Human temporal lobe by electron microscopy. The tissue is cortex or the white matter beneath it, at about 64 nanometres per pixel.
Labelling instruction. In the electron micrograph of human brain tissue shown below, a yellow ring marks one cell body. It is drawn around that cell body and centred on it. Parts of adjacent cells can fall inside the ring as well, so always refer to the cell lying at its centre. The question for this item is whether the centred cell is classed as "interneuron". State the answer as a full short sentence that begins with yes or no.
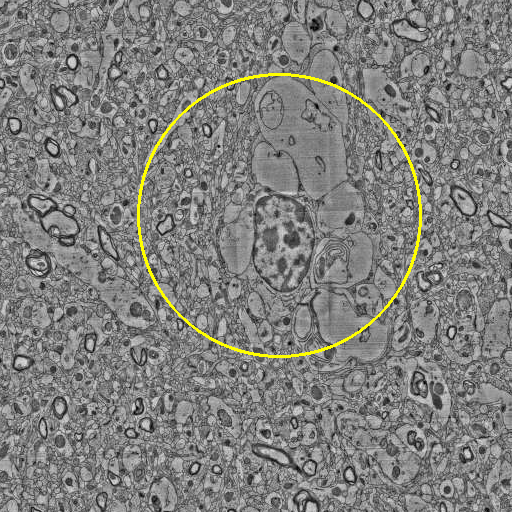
No, the centred cell belongs to another class.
